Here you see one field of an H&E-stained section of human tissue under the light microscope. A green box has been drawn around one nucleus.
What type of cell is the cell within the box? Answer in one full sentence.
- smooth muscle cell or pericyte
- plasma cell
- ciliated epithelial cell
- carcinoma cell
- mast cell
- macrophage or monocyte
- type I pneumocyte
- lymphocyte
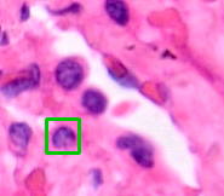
Typologically, the cell within the box is a mast cell in this section.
